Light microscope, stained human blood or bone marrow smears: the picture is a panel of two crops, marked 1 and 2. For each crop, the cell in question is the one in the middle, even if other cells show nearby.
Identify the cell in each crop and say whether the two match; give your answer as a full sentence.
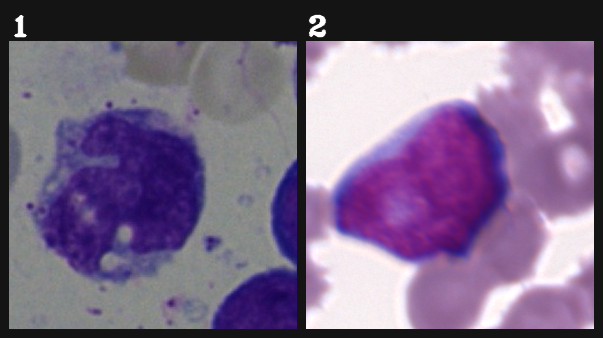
No, in this case crop 1 shows a monocyte, and crop 2 shows a blast.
